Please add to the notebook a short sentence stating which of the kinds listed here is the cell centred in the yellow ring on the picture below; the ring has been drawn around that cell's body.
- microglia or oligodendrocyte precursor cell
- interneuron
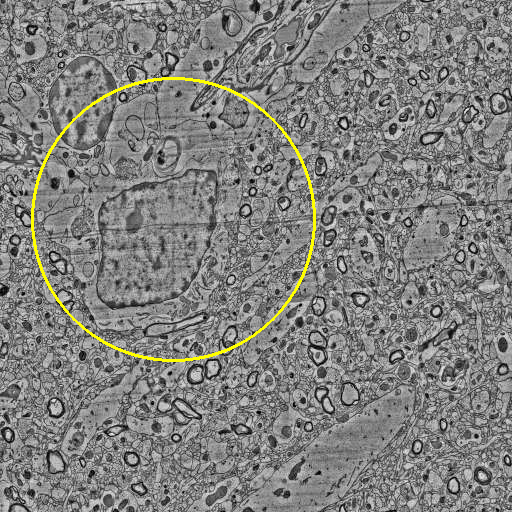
The cell centred in the yellow ring is a microglial cell or oligodendrocyte precursor cell.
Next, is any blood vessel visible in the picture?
Yes, a vessel shows somewhere in the image.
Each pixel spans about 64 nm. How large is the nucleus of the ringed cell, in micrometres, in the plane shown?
The nucleus works out at approximately 11 by 7 micrometres in this plane.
